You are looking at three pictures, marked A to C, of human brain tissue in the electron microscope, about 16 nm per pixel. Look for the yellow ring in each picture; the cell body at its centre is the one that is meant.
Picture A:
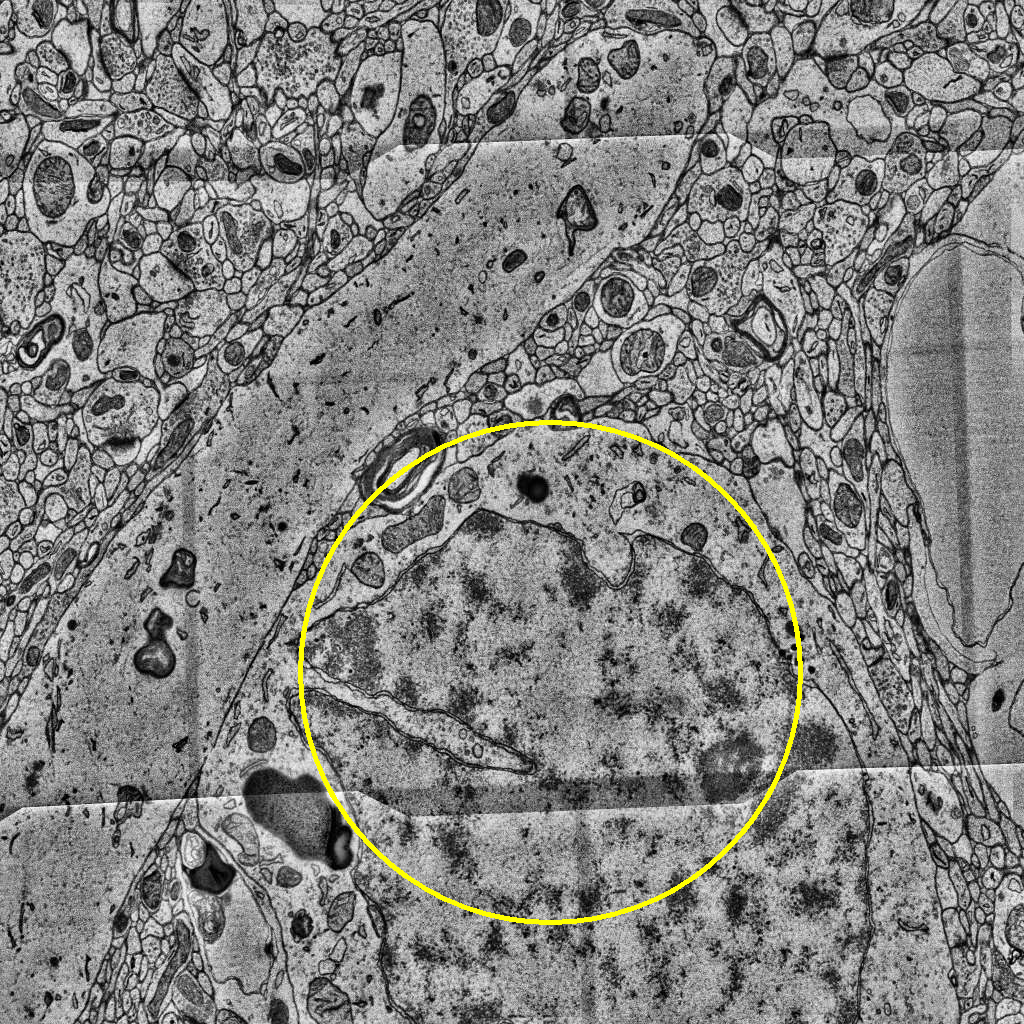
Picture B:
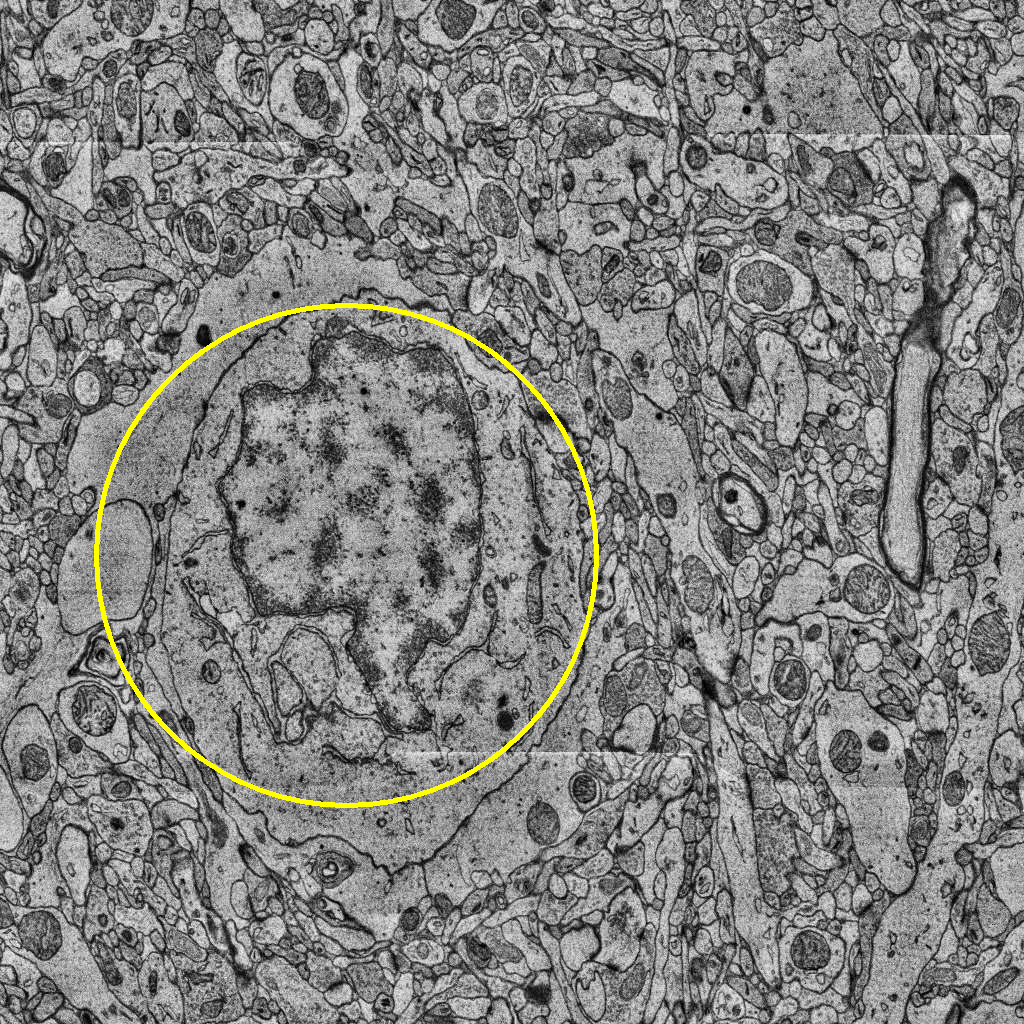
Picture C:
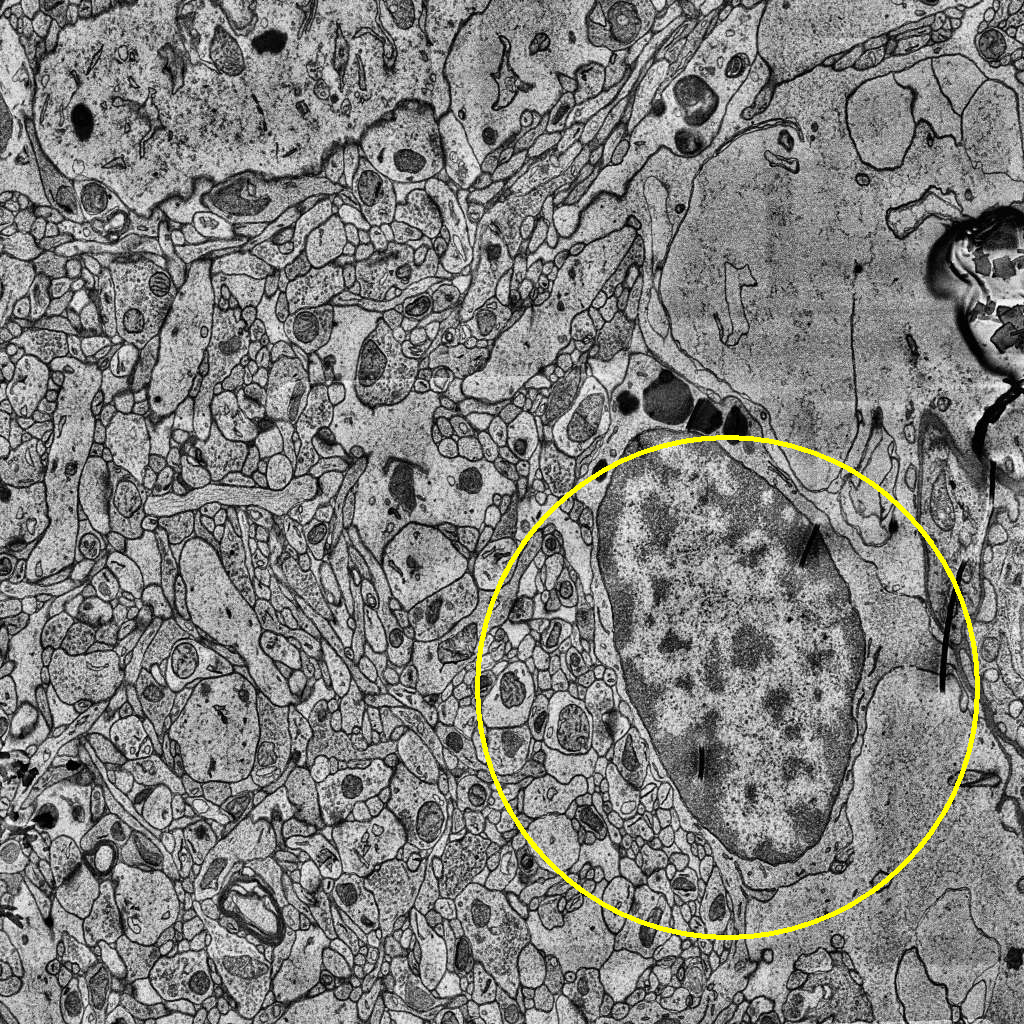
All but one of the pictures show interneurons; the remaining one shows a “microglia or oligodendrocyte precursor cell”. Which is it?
The cell in picture C is the “microglia or oligodendrocyte precursor cell”.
